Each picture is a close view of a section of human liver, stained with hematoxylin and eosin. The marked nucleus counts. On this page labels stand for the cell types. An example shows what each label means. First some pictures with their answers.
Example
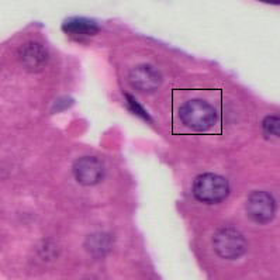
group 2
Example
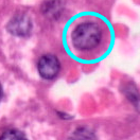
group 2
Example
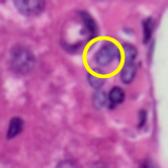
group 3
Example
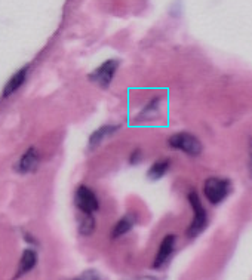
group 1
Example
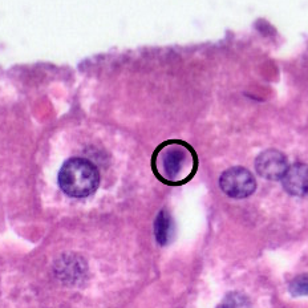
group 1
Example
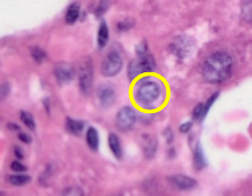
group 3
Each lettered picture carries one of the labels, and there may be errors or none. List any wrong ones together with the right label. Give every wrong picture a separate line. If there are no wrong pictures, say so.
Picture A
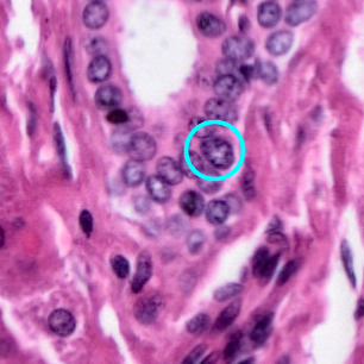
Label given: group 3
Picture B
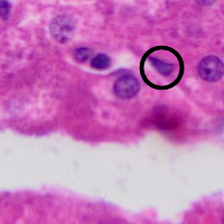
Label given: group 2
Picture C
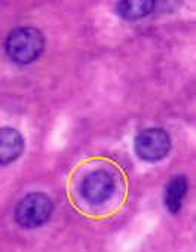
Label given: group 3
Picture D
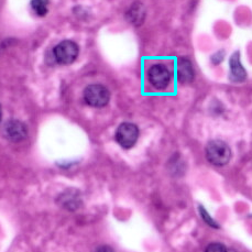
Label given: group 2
B: change group 2 to group 1
C: change group 3 to group 2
